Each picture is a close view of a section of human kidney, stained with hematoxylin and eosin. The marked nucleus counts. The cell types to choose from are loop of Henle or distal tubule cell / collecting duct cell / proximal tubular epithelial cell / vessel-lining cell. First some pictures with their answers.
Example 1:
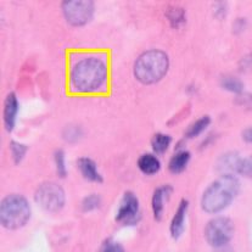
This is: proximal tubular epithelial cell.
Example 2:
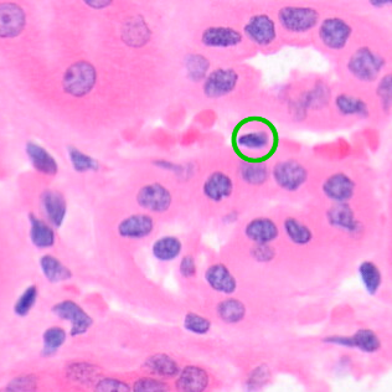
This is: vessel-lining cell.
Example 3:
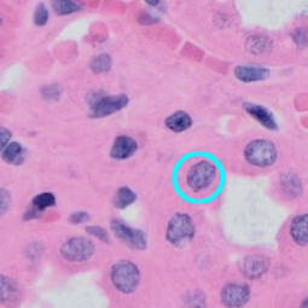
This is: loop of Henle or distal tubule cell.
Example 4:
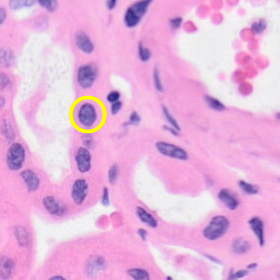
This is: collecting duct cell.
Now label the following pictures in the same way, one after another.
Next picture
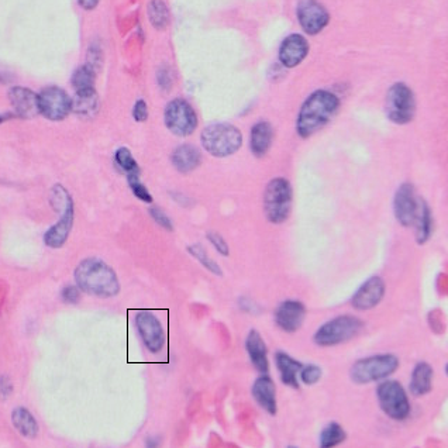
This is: collecting duct cell.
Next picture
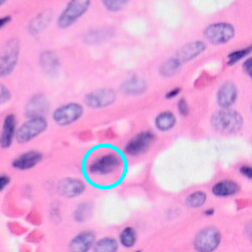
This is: collecting duct cell.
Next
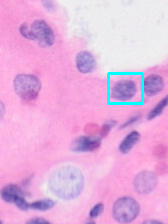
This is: loop of Henle or distal tubule cell.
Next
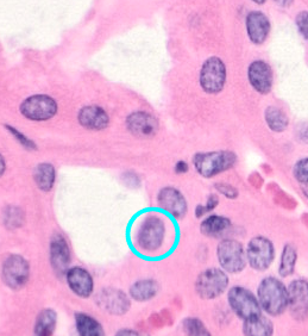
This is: collecting duct cell.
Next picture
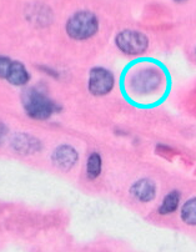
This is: loop of Henle or distal tubule cell.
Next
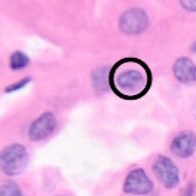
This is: loop of Henle or distal tubule cell.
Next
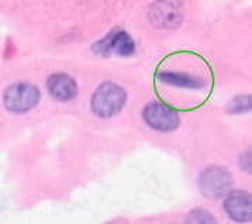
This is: vessel-lining cell.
